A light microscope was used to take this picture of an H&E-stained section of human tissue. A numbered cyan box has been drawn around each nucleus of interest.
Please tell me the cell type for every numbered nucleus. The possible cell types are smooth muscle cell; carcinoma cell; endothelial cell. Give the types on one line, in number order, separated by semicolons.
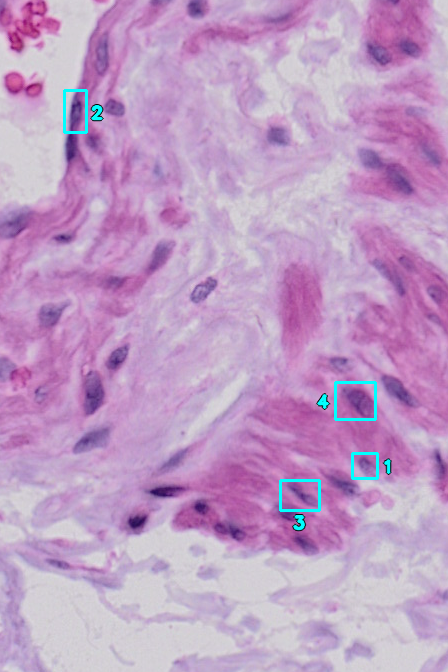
smooth muscle cell; endothelial cell; smooth muscle cell; smooth muscle cell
